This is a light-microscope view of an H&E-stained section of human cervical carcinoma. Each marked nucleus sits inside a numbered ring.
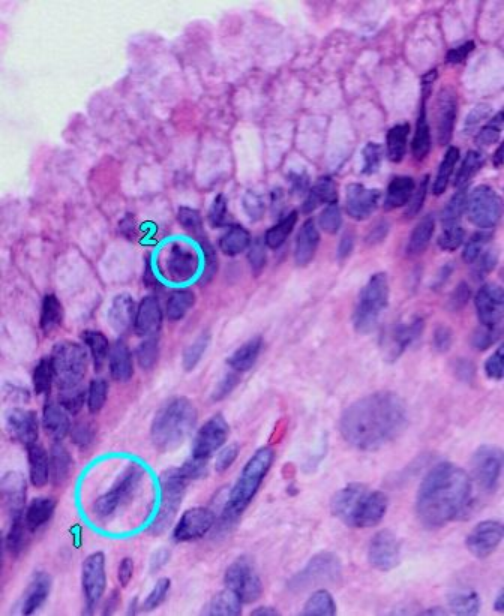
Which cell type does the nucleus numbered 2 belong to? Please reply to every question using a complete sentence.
Numbered cell 2 is a secretory epithelial cell in this tissue section.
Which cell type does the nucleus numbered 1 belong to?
Identified by the number 1, the cell is a fibroblast.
